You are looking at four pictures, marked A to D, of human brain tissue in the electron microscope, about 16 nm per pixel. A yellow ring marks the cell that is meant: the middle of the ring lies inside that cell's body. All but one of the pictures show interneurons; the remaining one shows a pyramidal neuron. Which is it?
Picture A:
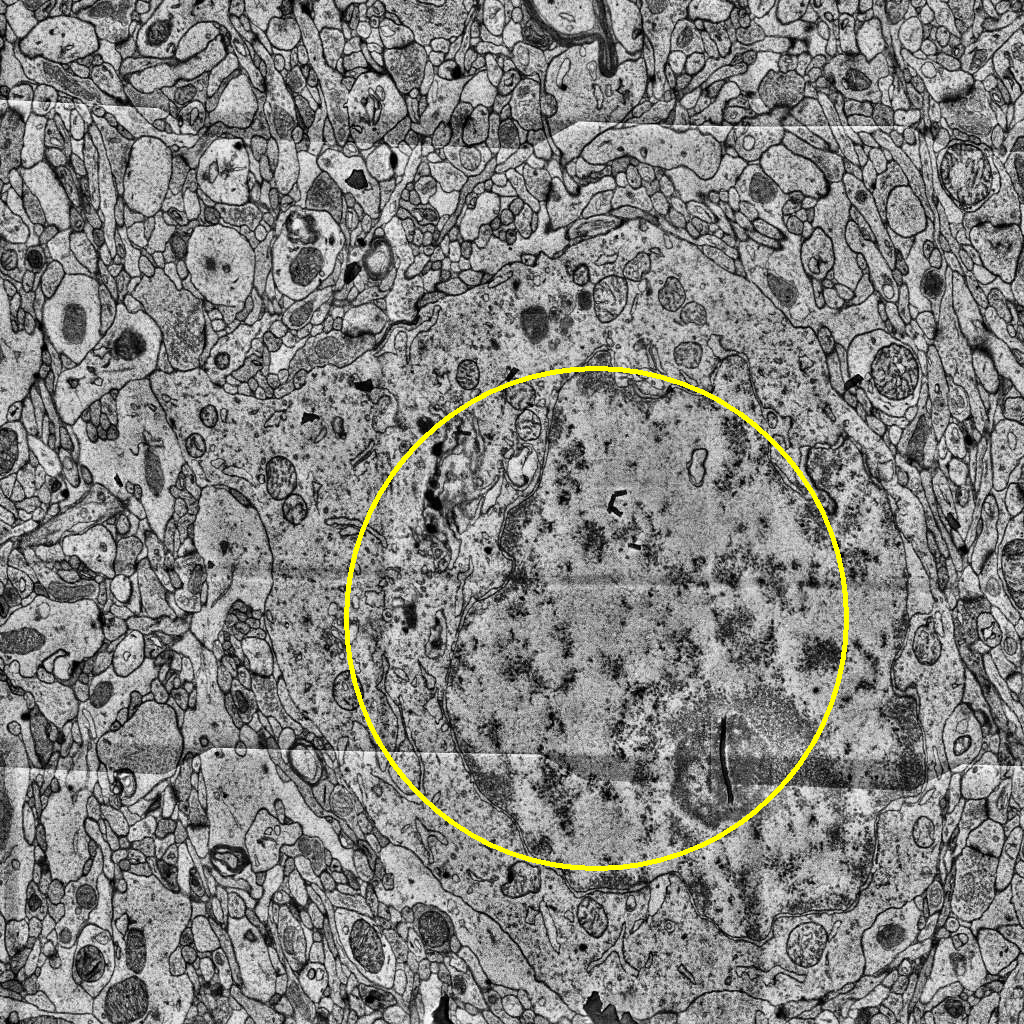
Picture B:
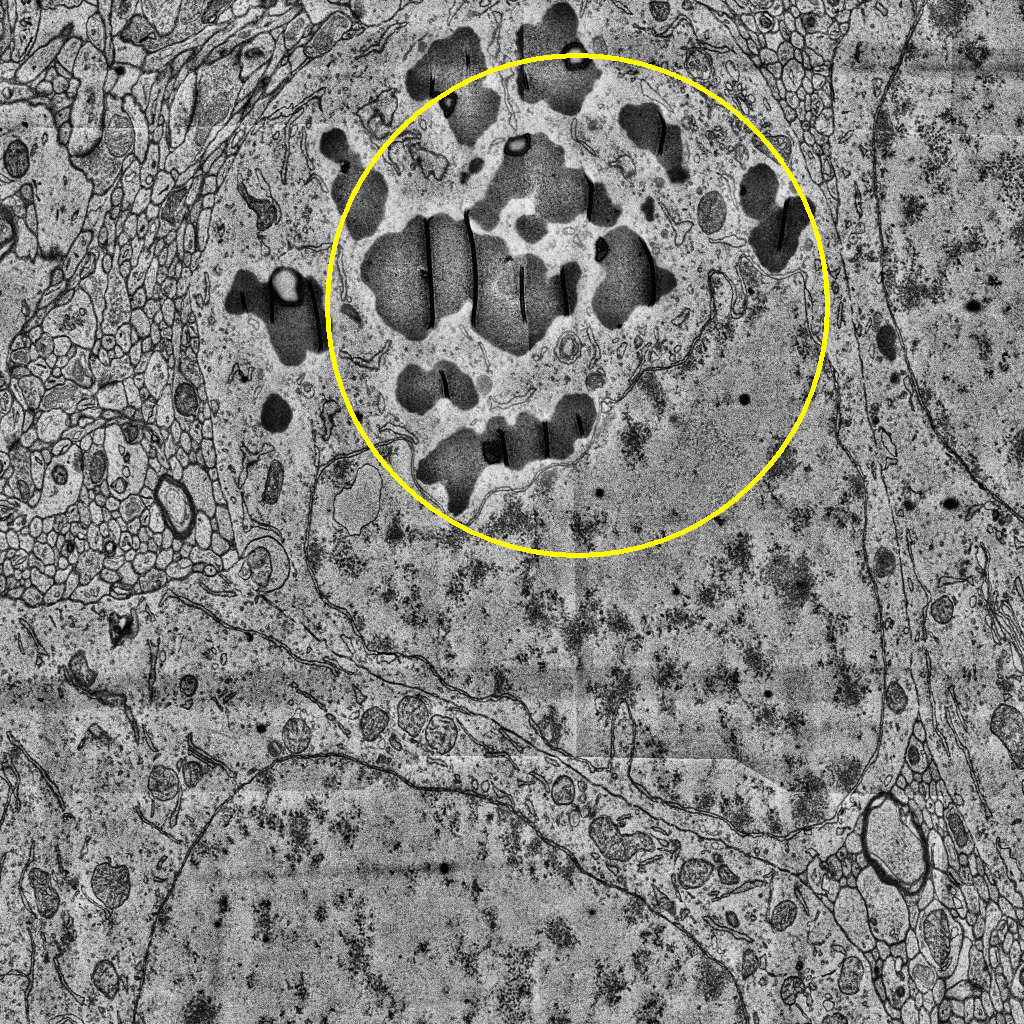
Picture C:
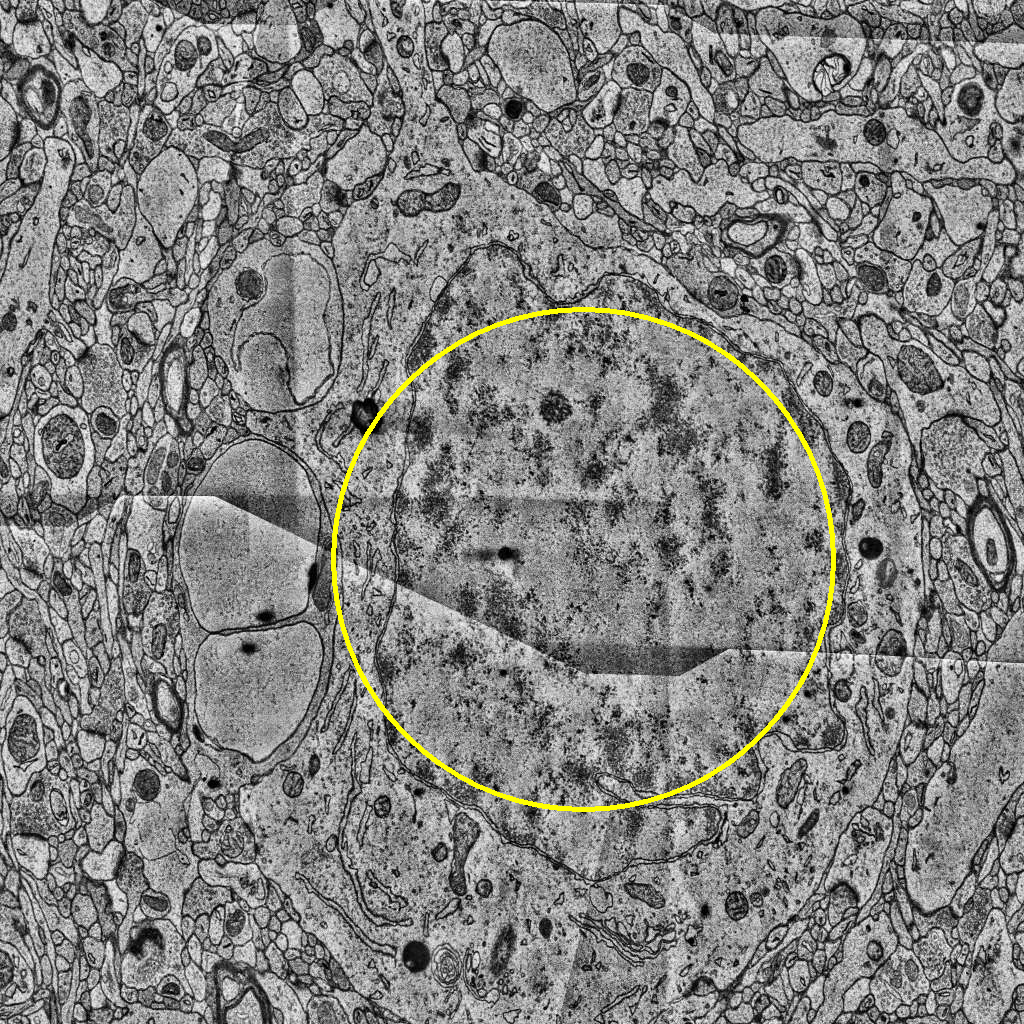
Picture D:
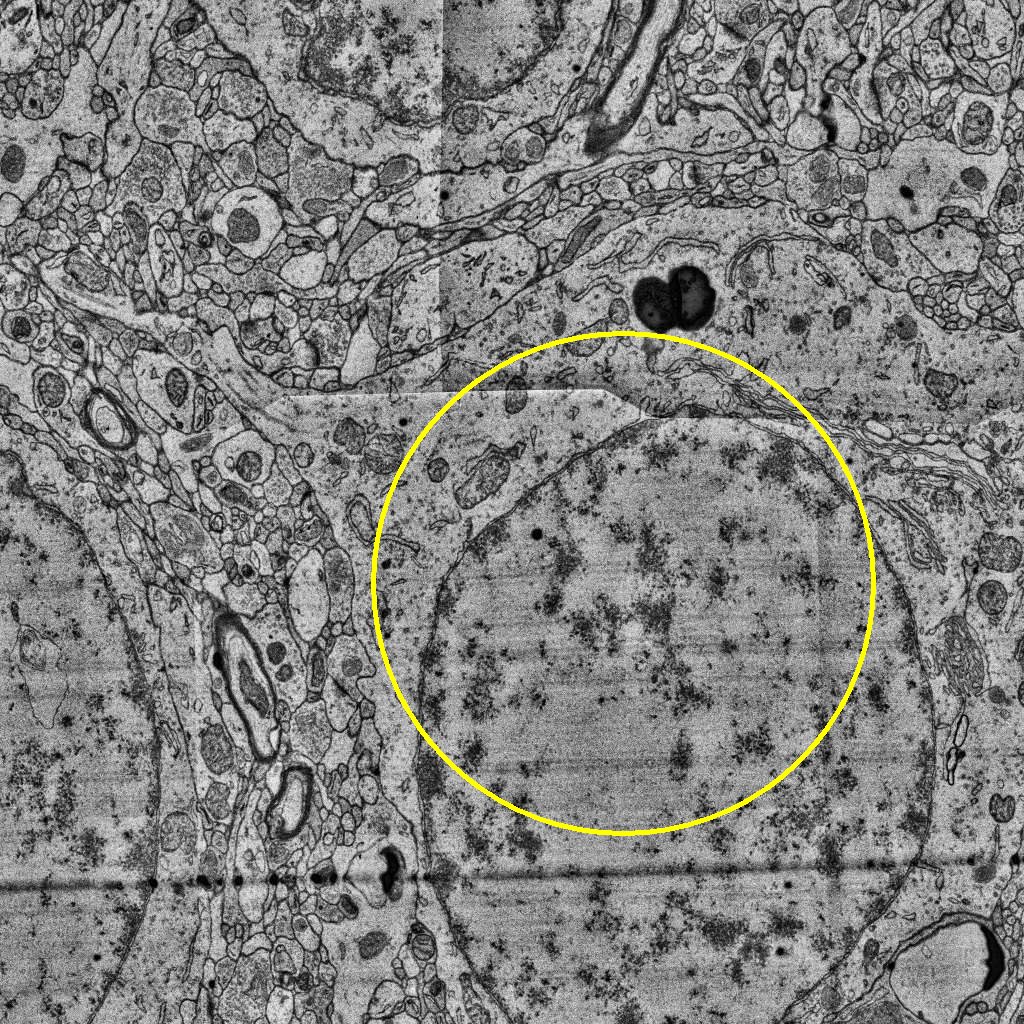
Picture D shows the pyramidal neuron.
